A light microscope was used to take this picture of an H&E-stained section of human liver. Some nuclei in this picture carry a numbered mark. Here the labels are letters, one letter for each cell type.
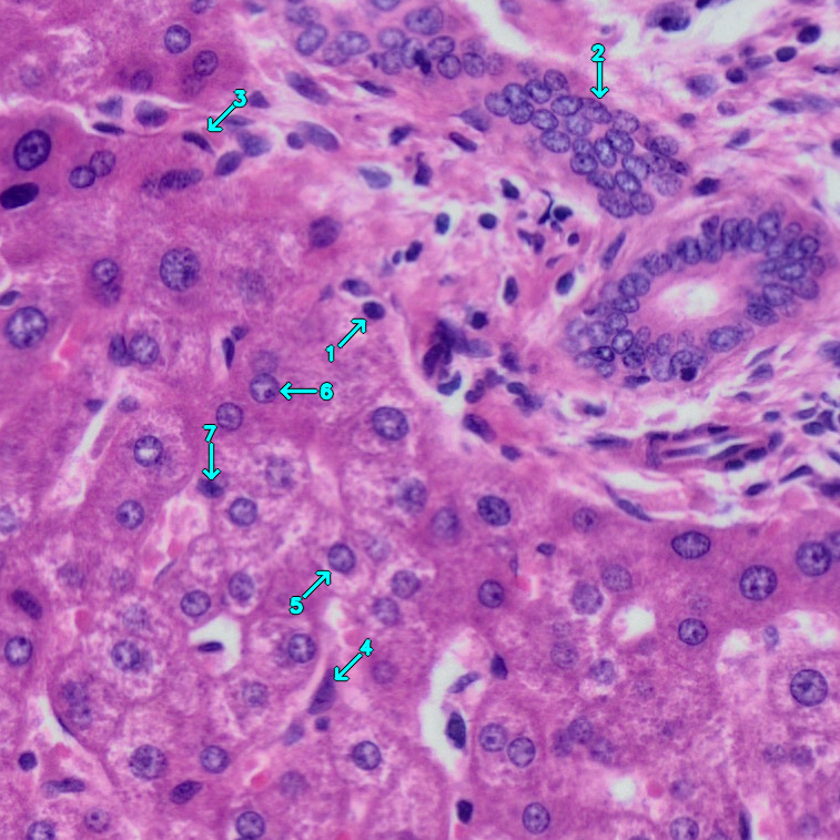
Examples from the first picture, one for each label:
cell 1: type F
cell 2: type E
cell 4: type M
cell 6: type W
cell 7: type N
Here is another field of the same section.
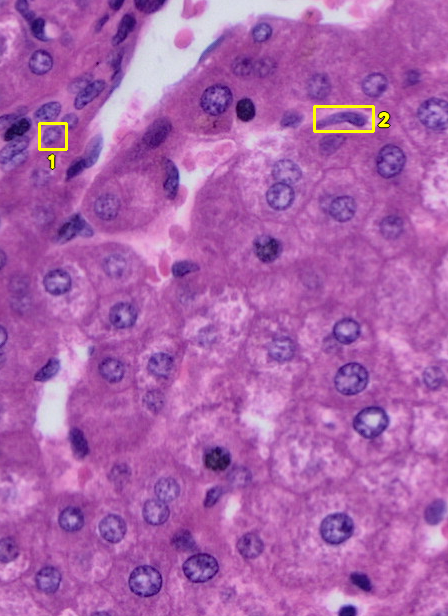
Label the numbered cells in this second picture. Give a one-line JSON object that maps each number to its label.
{"1": "type E", "2": "type M"}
